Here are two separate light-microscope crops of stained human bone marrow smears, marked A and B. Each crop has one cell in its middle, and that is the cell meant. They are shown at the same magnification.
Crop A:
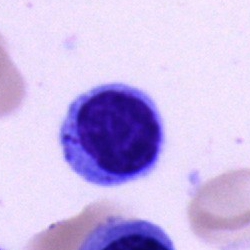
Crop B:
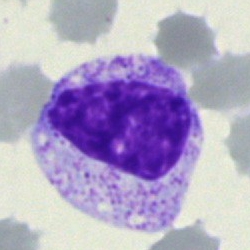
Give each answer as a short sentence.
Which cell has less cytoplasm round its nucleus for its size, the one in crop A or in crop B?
It is the cell in crop A that is filled more by its nucleus.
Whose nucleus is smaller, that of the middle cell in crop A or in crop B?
It is the nucleus in crop A; the one in crop B has about 2 times its area.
